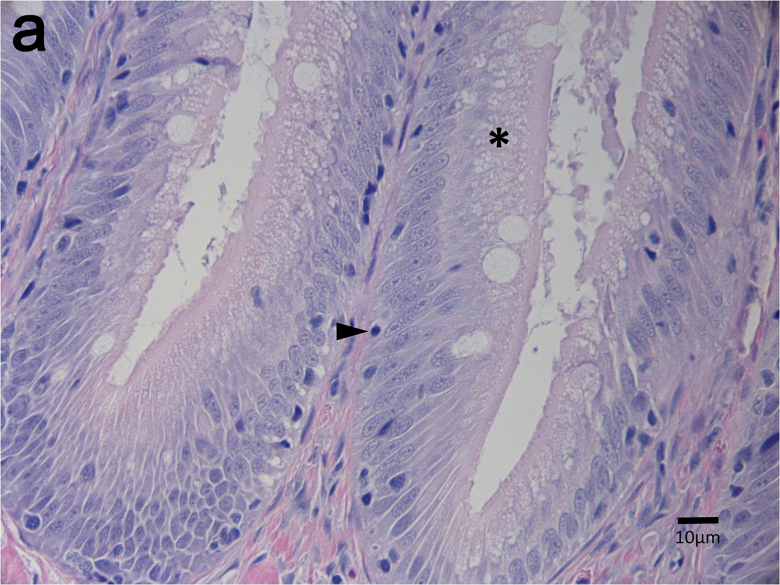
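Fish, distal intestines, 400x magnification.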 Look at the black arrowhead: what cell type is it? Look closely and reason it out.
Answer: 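Intraepithelial lymphocytes. A small, round, densely dark nucleus lies among the bases of the columnar epithelial cells. It is much smaller and darker than the elongated pale epithelial nuclei.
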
